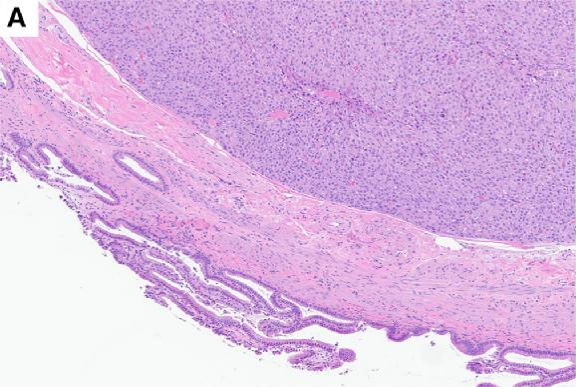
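This is the gallbladder wall with a tumor growing in it, seen beneath the lining. Along the lower left edge the mucosa forms delicate folds covered by a single layer of tall columnar epithelial cells with basal purple nuclei. Beneath the epithelium lies a band of pink fibromuscular tissue with scattered spindle-shaped nuclei. In the upper right a solid sheet of tumor cells fills the field; the cells are closely packed, polygonal, with moderately pink cytoplasm and round purple nuclei, and a few small vessels run through them.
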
